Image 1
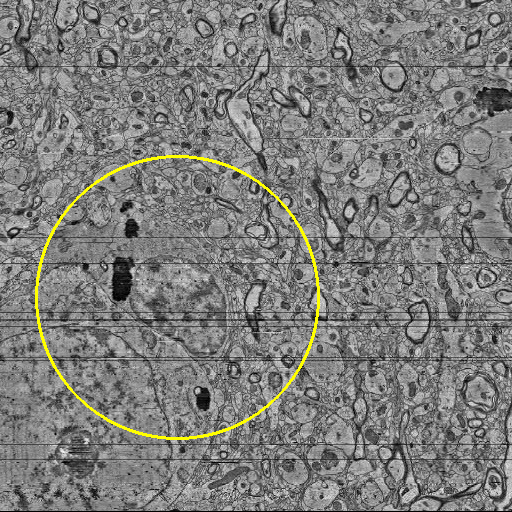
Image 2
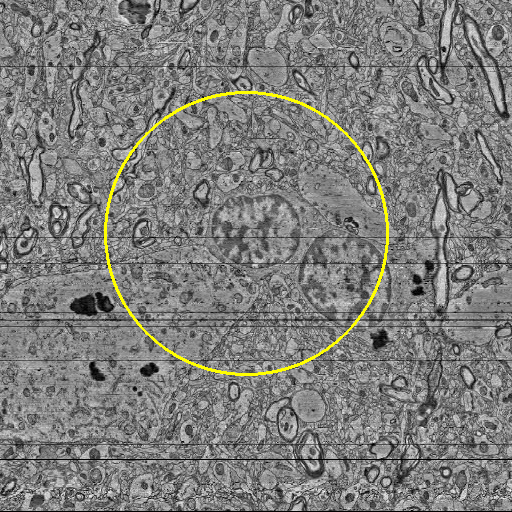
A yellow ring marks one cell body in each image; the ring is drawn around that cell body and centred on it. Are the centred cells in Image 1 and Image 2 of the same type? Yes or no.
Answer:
yes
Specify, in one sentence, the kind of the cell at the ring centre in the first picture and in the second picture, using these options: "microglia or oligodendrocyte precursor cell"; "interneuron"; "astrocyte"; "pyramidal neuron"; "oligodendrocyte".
In each picture the ringed cell is an oligodendrocyte.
